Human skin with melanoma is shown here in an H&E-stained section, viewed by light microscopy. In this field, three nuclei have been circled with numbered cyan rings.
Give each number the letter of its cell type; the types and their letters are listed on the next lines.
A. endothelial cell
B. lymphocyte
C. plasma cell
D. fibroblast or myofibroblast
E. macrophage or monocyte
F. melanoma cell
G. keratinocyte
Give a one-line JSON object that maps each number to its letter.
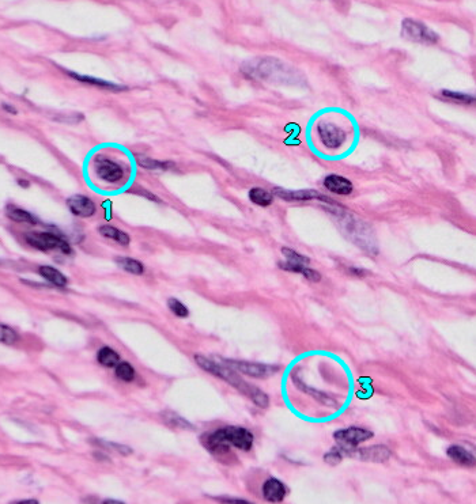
{"1": "C", "2": "B", "3": "D"}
